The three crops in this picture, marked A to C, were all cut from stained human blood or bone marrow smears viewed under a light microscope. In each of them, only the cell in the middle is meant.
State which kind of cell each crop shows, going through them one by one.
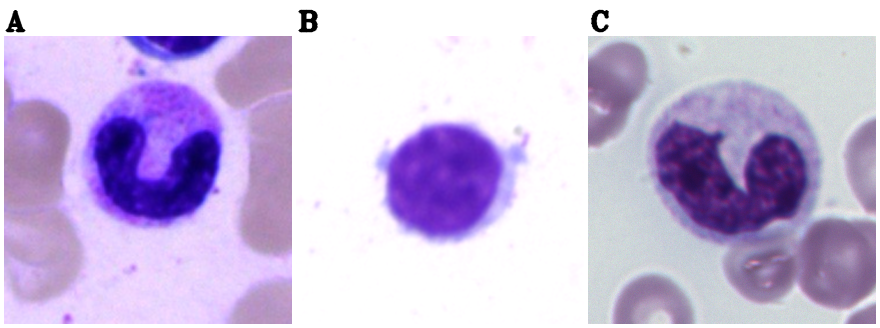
A: band neutrophil
B: lymphocyte
C: band neutrophil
